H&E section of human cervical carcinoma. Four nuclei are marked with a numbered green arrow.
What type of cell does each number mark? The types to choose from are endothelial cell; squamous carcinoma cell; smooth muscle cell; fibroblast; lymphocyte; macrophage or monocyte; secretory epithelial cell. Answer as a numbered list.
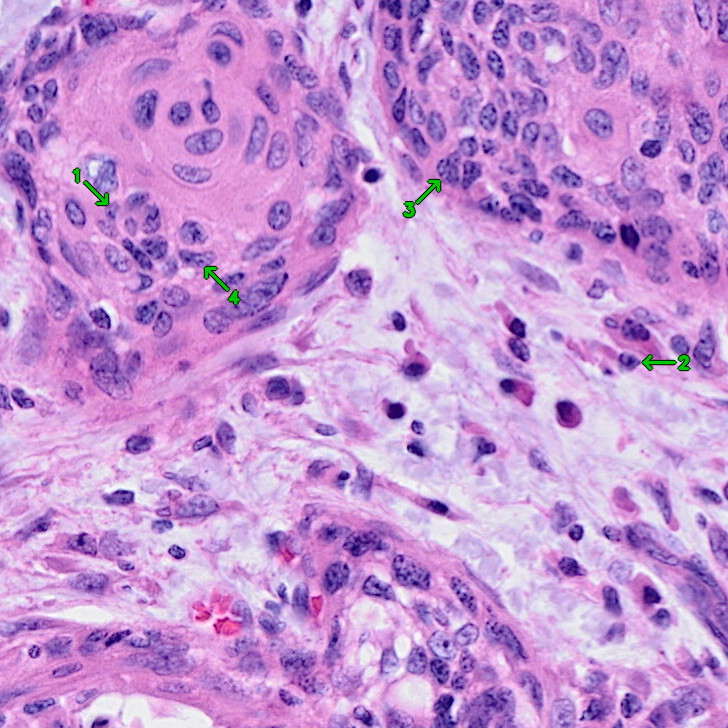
1. squamous carcinoma cell
2. lymphocyte
3. squamous carcinoma cell
4. squamous carcinoma cell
